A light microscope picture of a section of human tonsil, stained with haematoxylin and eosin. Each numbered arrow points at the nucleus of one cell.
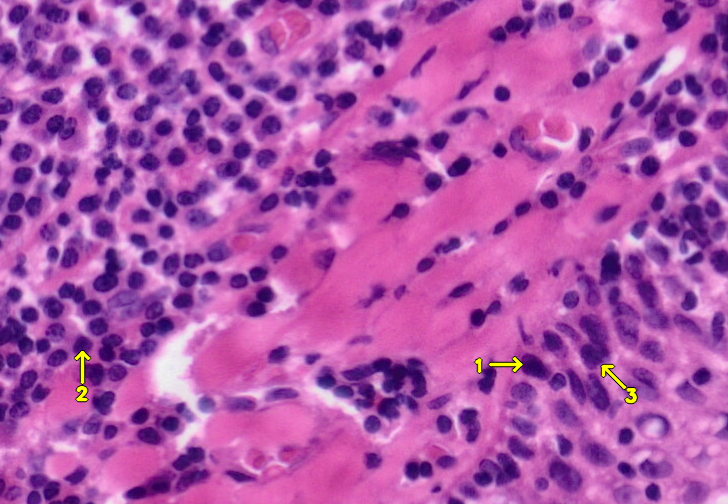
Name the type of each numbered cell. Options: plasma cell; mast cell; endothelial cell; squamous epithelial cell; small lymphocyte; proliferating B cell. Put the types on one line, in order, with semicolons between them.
squamous epithelial cell; plasma cell; squamous epithelial cell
